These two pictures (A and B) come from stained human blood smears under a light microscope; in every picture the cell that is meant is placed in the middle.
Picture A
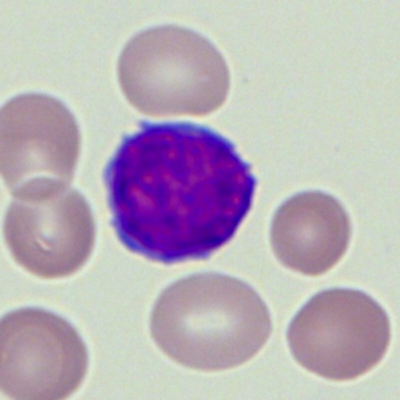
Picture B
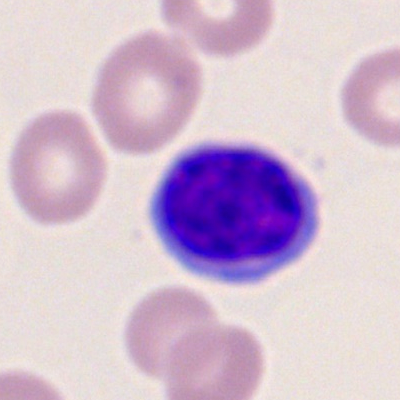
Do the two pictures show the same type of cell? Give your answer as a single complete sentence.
Yes, both are lymphocytes.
